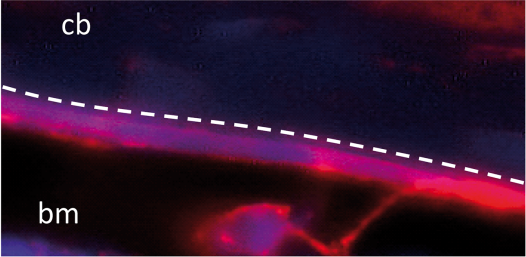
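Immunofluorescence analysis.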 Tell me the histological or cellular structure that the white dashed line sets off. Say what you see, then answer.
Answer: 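Bone surface. The dashed line separates a dark, nearly cell-free matrix above from a brightly lined region below. A band of red-stained lining tissue runs directly beneath and along the line.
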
